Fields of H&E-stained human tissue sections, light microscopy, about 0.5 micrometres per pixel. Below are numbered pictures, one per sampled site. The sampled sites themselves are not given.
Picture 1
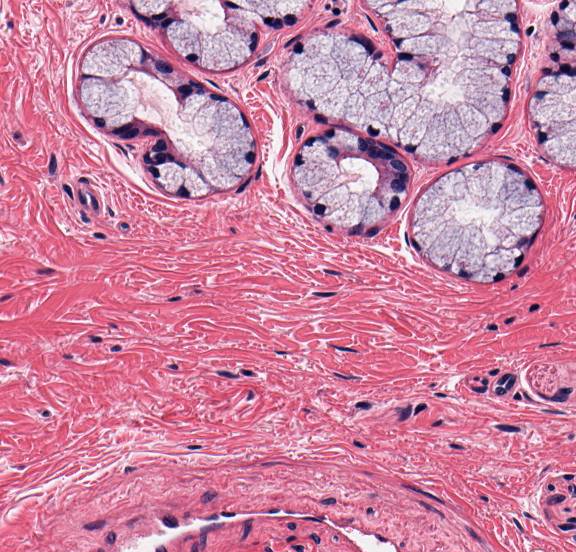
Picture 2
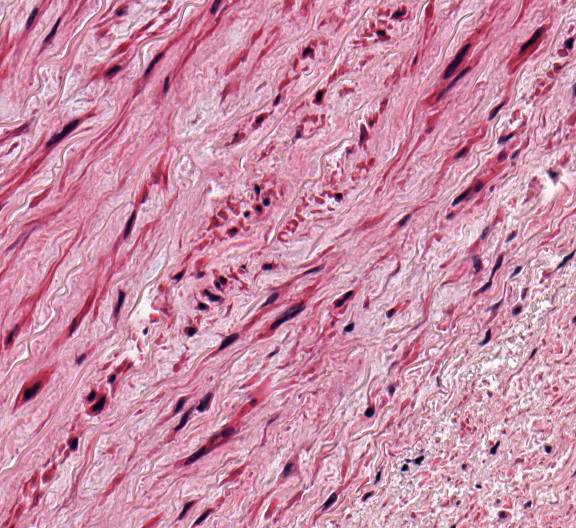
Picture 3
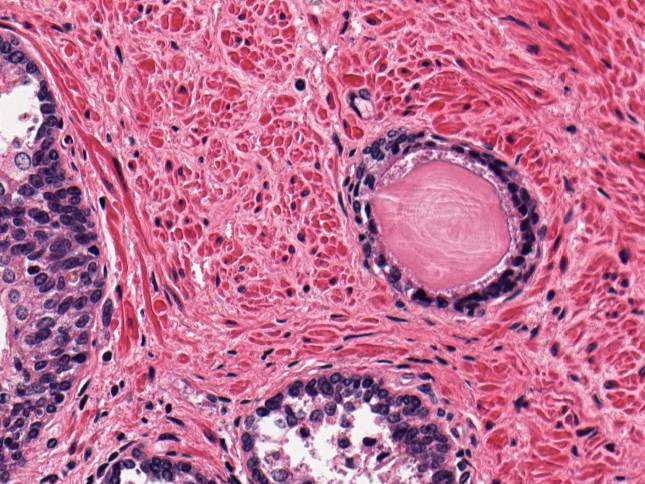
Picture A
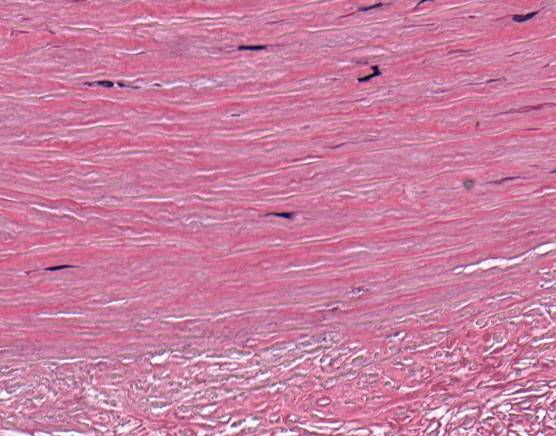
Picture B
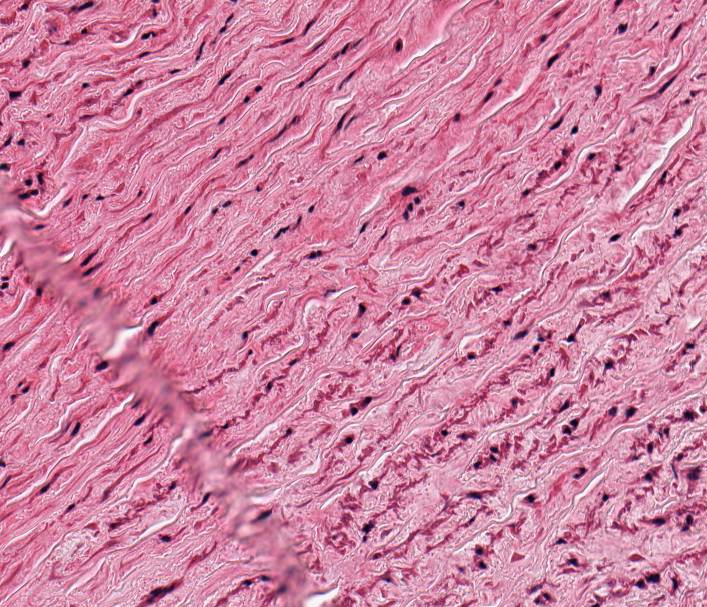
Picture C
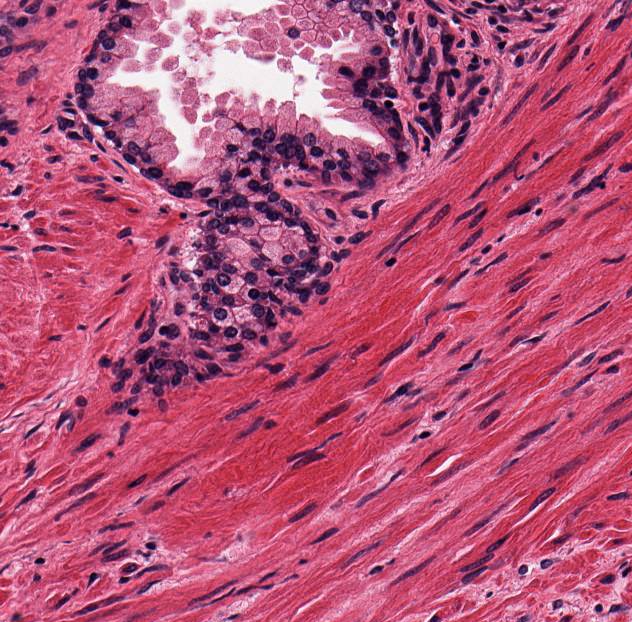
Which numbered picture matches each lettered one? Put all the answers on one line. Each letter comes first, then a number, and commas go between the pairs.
A 2, B 2, C 3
